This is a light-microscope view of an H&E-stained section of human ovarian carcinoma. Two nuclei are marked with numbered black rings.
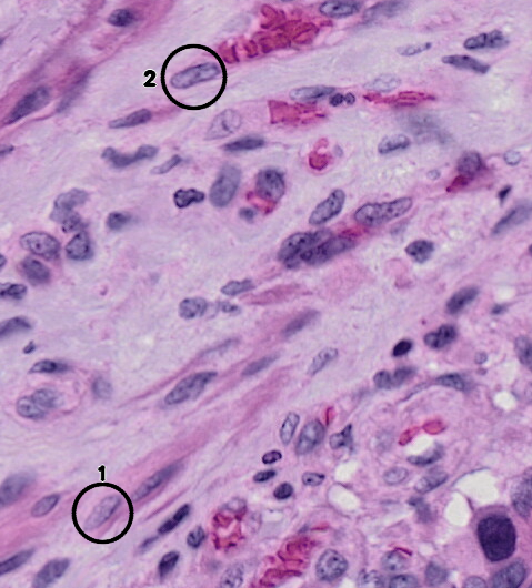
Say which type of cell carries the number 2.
endothelial cell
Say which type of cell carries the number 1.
smooth muscle cell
